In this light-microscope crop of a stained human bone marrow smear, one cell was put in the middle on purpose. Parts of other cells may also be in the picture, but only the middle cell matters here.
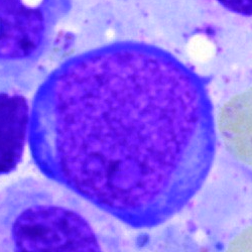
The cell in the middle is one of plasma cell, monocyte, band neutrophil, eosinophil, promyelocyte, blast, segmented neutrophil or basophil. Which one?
blast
